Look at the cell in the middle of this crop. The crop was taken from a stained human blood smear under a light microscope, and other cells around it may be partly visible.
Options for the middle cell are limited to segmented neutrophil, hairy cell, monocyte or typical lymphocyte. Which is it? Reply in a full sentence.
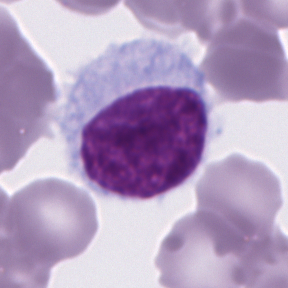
Of the cells in this crop, the central one is a hairy cell.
